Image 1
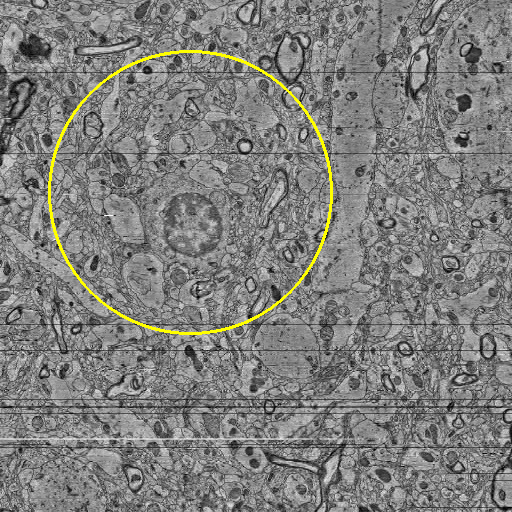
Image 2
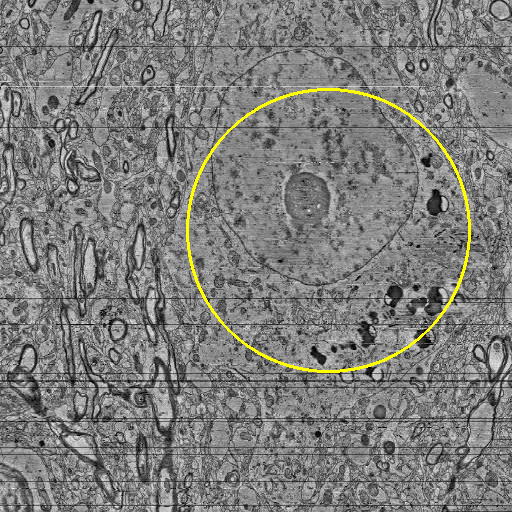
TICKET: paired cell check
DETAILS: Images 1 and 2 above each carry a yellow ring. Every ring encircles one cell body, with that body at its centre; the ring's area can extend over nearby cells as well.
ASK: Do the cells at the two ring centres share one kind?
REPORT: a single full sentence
No, the ring-centre cells of Images 1 and 2 belong to two kinds.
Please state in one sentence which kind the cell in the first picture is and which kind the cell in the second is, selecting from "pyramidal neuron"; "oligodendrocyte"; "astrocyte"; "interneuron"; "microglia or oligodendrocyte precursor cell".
The first ringed cell is an oligodendrocyte, the second ringed cell a pyramidal neuron.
